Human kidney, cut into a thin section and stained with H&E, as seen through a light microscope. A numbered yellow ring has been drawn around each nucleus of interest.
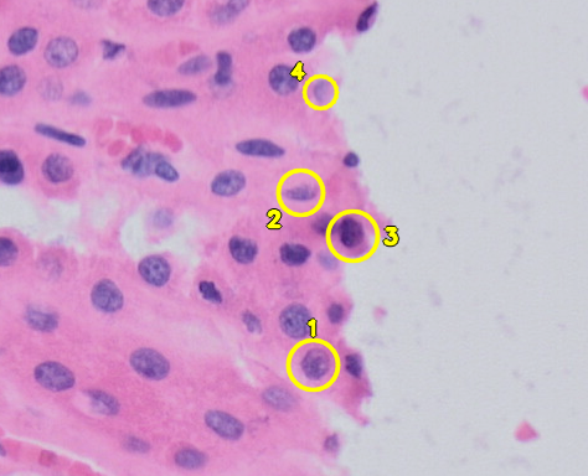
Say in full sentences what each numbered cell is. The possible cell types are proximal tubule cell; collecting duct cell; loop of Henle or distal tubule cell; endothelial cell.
Cell 1 is a loop of Henle or distal tubule cell, cell 2 is an endothelial cell, cell 3 is a loop of Henle or distal tubule cell and cell 4 is a loop of Henle or distal tubule cell.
